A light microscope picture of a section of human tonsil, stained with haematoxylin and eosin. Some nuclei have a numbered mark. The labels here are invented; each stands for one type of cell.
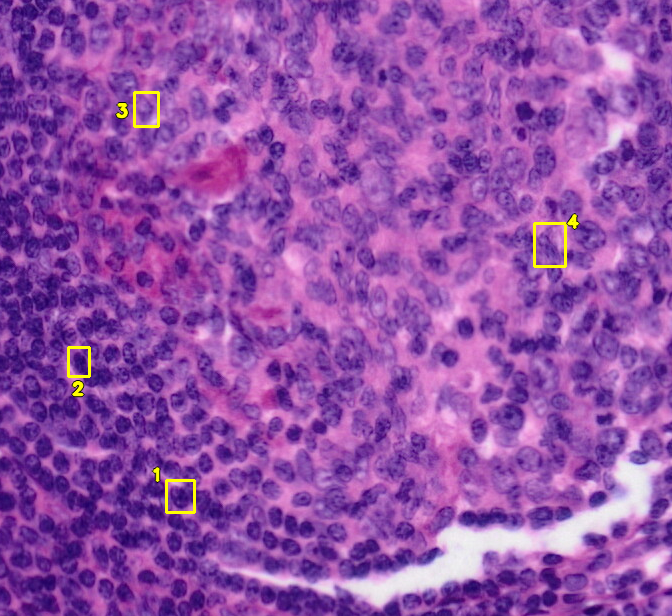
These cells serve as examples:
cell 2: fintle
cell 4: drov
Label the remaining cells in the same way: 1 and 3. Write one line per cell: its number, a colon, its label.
1: fintle
3: drov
